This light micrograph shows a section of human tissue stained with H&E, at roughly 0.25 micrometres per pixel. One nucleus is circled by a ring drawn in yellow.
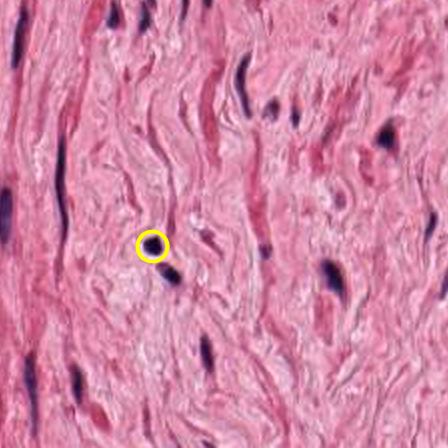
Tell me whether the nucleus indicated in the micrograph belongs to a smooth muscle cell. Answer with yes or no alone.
no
